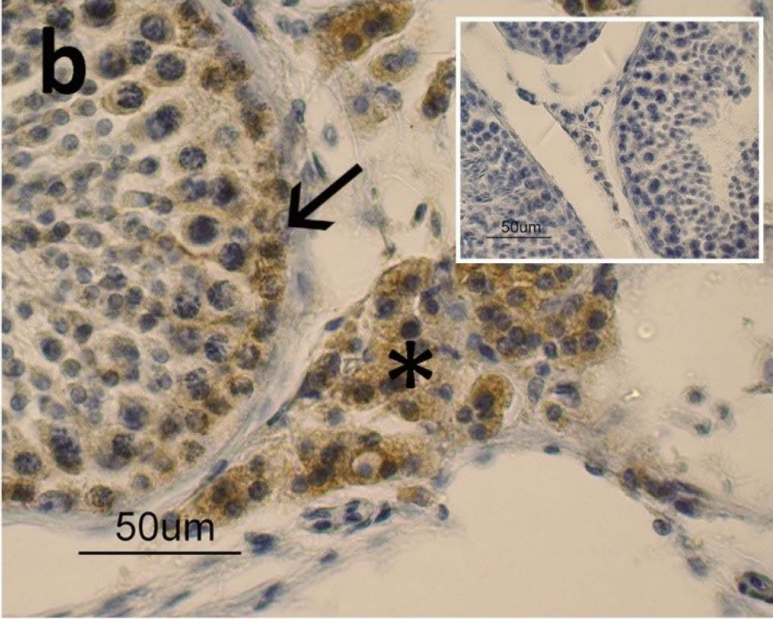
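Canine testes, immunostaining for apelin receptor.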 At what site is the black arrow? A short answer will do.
Basal line of spermatogenic epithelium.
